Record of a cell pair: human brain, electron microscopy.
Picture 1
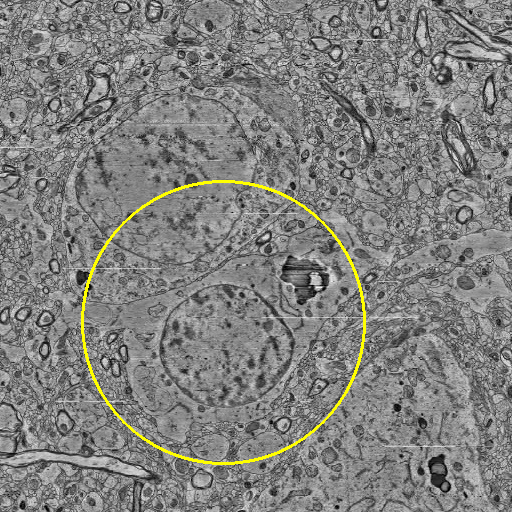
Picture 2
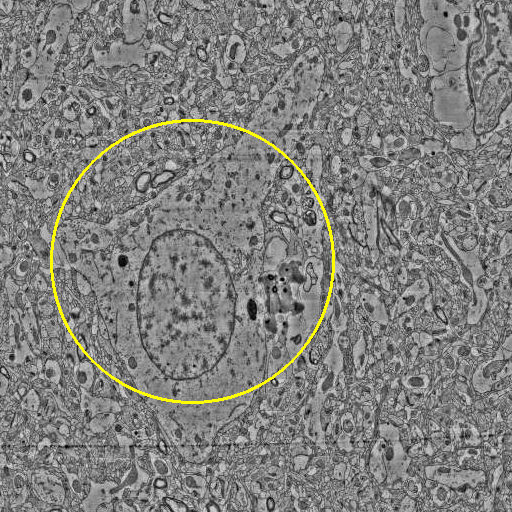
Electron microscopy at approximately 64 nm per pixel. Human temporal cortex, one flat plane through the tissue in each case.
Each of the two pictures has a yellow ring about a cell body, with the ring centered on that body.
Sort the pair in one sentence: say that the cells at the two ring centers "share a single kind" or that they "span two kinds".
The cells centered in the rings of Pictures 1 and 2 span two kinds.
